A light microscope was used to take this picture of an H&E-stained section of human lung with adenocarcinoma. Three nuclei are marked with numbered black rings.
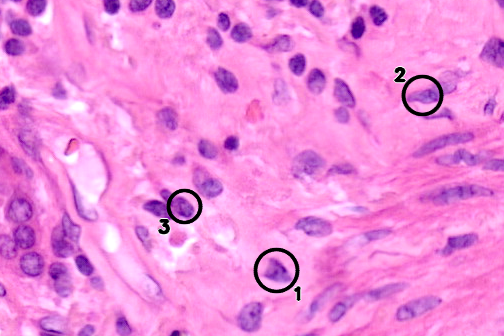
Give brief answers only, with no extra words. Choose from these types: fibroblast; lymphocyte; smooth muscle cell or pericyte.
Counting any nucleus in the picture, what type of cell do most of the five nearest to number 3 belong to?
fibroblast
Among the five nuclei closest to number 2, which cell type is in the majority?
smooth muscle cell or pericyte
